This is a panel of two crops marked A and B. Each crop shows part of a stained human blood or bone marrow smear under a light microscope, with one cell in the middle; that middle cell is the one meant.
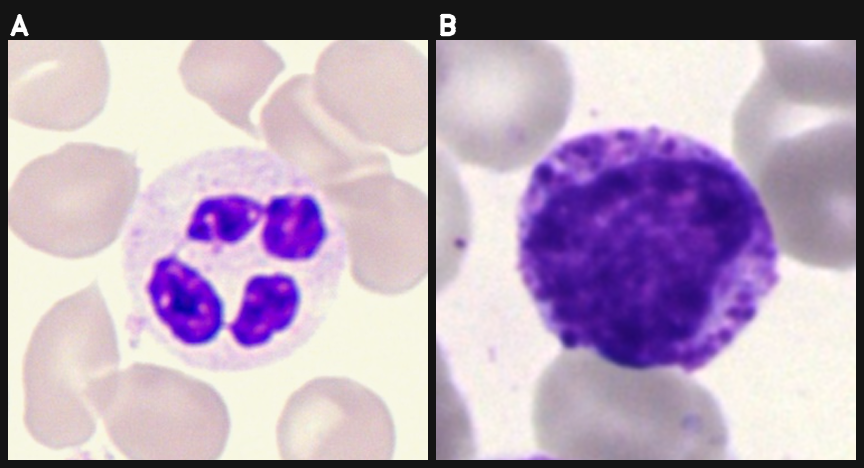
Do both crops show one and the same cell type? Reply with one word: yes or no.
no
